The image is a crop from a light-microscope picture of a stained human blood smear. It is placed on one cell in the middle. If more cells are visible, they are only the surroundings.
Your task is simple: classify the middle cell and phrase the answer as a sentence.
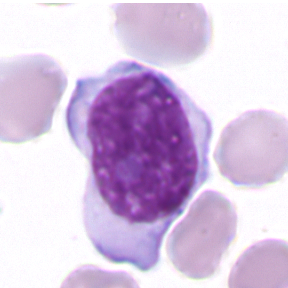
What sits at the centre of this crop is a plasma cell.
